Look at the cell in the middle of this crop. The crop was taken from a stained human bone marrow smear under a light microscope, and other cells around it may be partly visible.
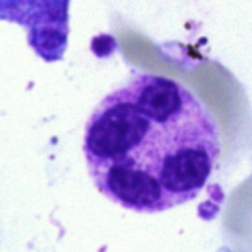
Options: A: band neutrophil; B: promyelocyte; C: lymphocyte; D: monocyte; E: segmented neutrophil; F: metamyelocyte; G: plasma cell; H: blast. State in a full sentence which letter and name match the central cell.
Here the central cell is a segmented neutrophil, and option E is correct.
